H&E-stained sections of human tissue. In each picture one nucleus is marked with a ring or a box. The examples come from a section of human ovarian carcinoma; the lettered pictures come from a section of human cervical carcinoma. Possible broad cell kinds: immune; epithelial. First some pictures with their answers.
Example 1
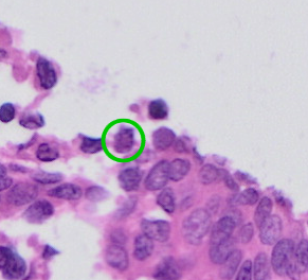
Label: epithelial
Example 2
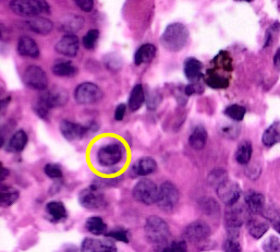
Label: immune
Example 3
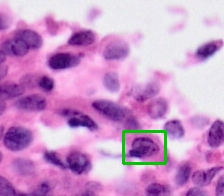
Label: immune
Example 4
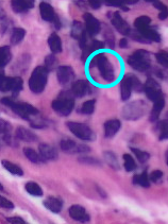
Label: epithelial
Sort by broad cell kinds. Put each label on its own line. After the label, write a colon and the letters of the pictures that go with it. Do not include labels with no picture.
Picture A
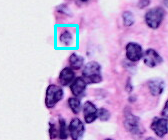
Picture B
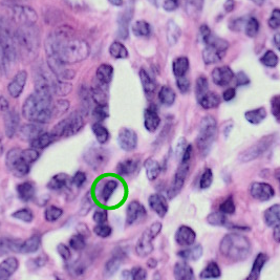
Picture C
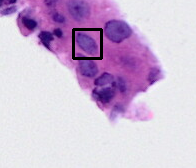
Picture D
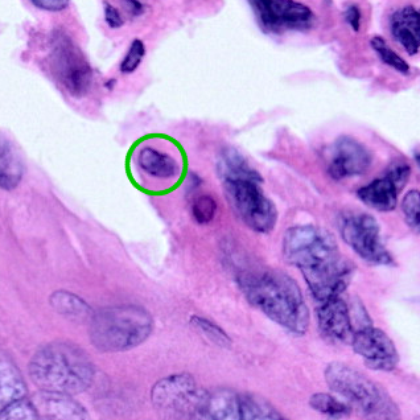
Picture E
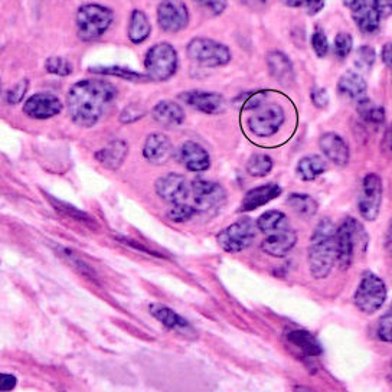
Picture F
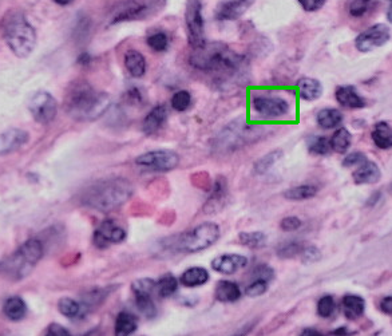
immune: A, B, F
epithelial: C, D, E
